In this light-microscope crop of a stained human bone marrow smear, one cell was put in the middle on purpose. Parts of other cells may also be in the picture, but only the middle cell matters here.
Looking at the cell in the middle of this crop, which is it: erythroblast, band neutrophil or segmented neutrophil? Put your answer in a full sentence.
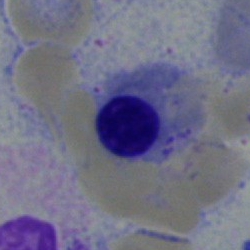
The crop shows an erythroblast in its centre.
